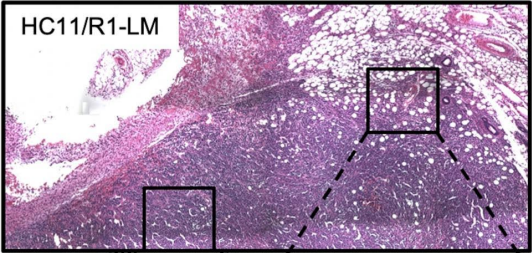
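This low-power section shows a highly cellular tumor lying against fatty mammary gland tissue. The tumor forms a broad, densely packed purple mass in the lower and central part of the field, made of crowded cells with dark nuclei. At the upper right the tissue changes to many round, clear white spaces of fat cells, with pink stroma and small vessels between them. Toward the upper left, looser pink tissue and open white clefts mark the edge of the section. The border between the dense tumor and the fatty tissue is irregular rather than sharply encapsulated.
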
